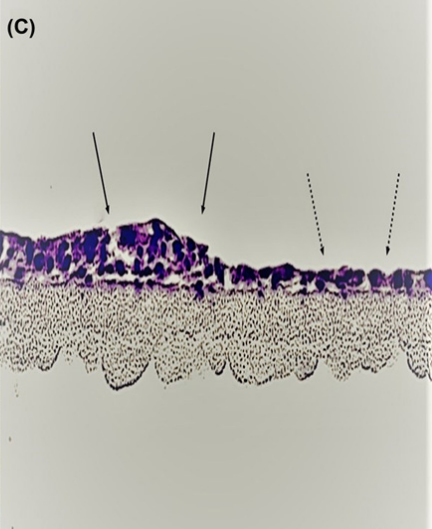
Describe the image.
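This is a cross-section of a cultured epithelial layer sitting on a filter, stained so that nuclei appear dark purple and cytoplasm paler pink-purple. The pale, finely speckled band beneath is the filter, and the cells lie along its upper surface. On the left the epithelium is thick and heaped up, with several cells stacked on one another and dark nuclei scattered through the mound. Toward the right the layer thins to a single row of flattened cells lying directly on the filter. So the same sheet shows both a stacked, multilayered part and a thin single-cell part side by side.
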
